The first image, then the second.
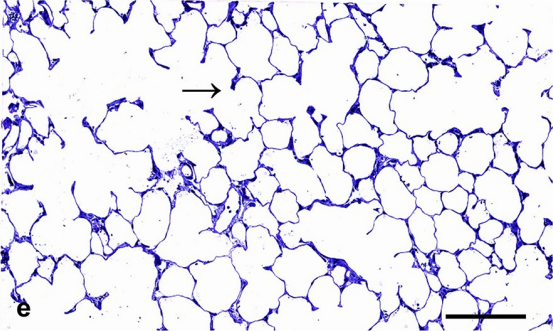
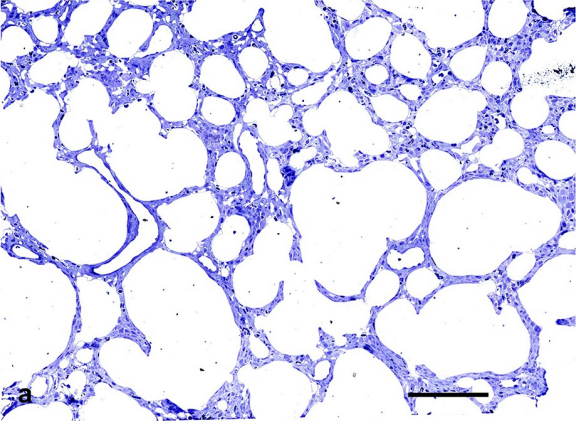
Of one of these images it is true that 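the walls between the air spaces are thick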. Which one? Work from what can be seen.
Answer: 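The second image. First image: the walls between air spaces are thin lines. Second image: the walls between air spaces are broad bands packed with nuclei.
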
